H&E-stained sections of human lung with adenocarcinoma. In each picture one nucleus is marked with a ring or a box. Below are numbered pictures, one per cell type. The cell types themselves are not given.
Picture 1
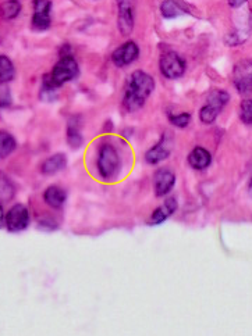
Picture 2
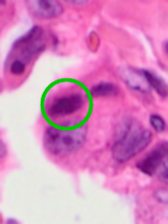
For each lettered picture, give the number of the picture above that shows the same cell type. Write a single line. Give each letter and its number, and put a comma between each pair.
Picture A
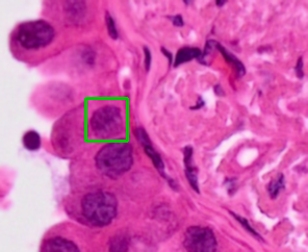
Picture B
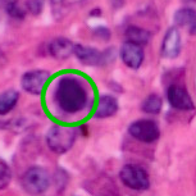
A 2, B 1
